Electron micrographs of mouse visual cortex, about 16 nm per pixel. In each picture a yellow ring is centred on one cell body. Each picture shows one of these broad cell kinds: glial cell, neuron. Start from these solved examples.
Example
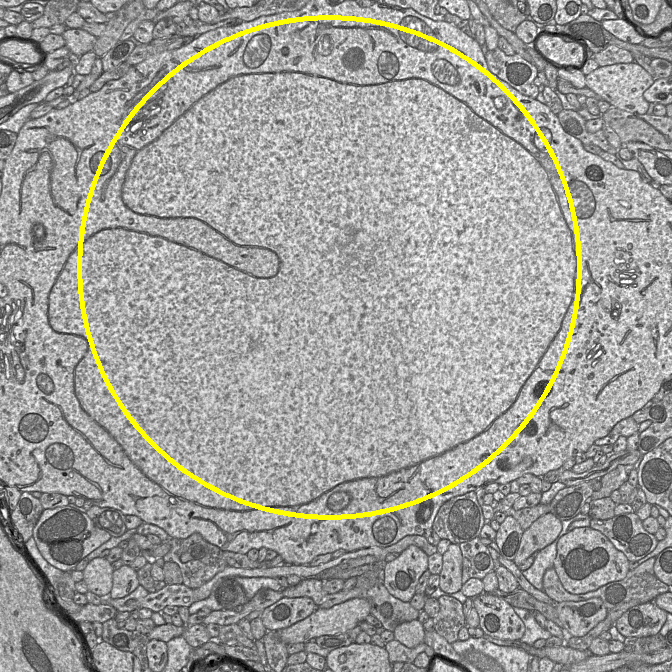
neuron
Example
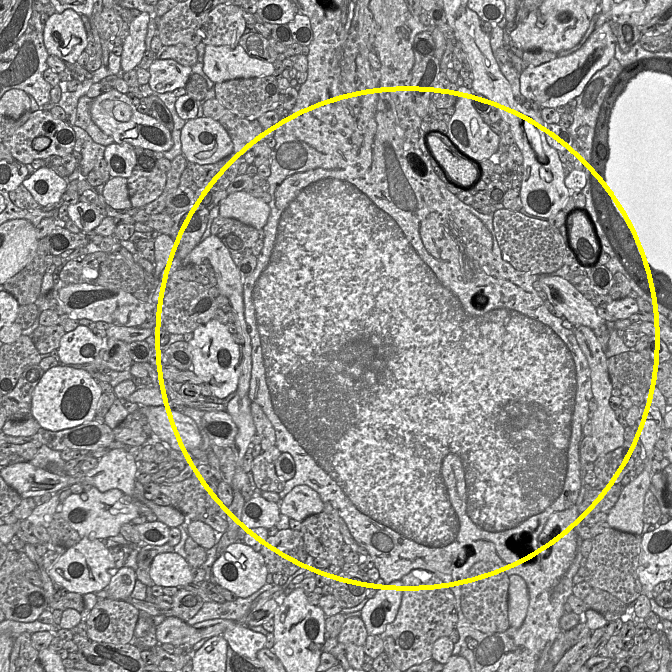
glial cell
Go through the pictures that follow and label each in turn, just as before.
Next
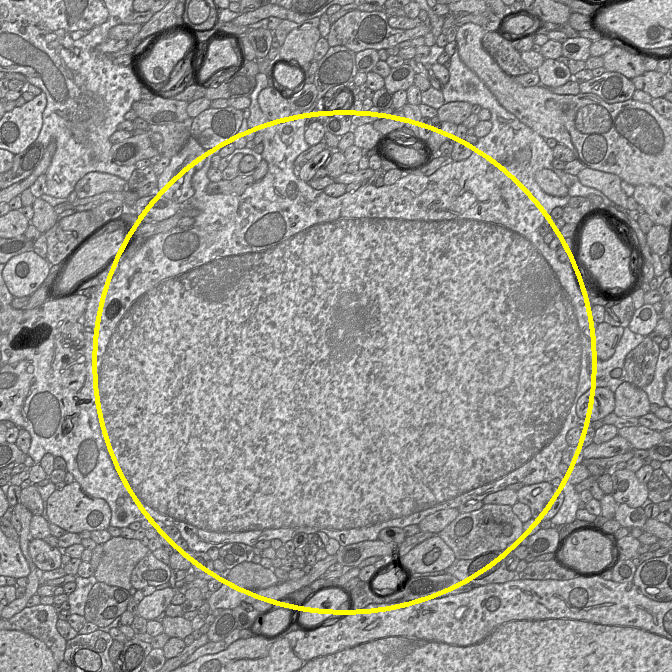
glial cell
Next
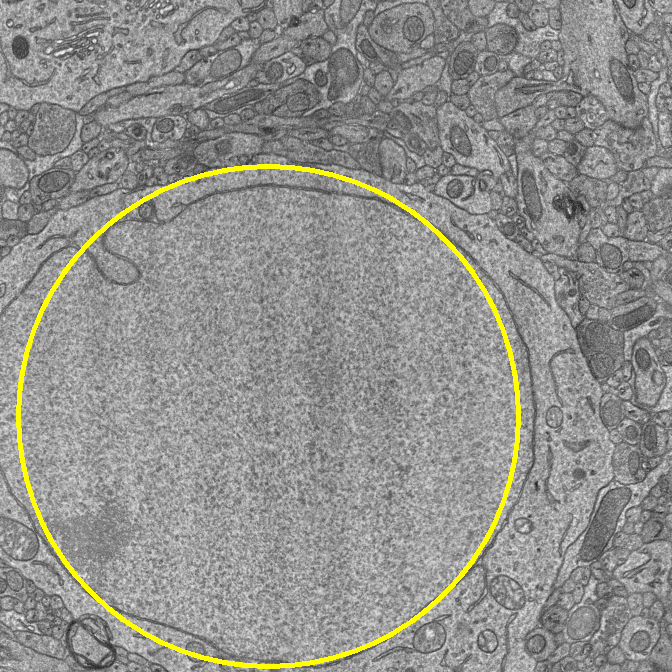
neuron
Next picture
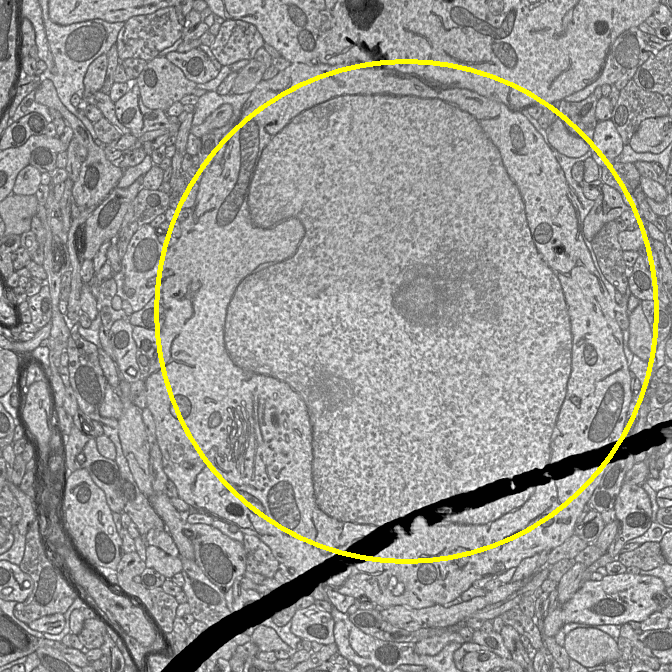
neuron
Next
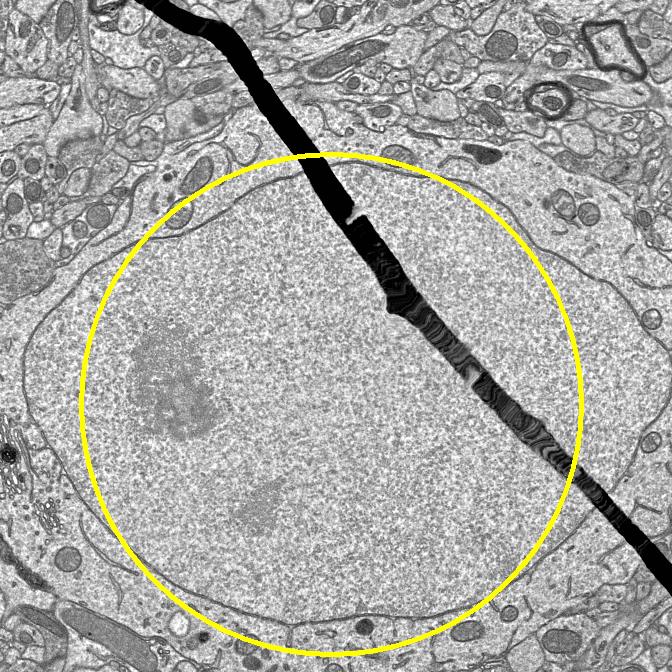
neuron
